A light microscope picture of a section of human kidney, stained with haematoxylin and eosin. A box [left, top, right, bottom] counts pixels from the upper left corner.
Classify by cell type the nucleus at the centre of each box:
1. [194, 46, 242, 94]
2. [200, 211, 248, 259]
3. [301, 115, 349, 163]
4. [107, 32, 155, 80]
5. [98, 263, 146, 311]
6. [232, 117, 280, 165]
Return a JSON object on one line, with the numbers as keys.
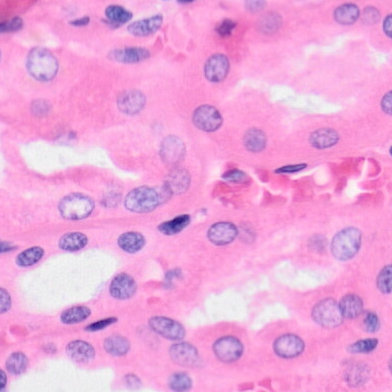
{"1": "proximal tubule cell", "2": "proximal tubule cell", "3": "proximal tubule cell", "4": "endothelial cell", "5": "collecting duct cell", "6": "proximal tubule cell"}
